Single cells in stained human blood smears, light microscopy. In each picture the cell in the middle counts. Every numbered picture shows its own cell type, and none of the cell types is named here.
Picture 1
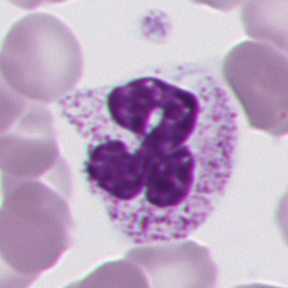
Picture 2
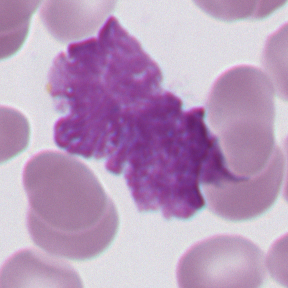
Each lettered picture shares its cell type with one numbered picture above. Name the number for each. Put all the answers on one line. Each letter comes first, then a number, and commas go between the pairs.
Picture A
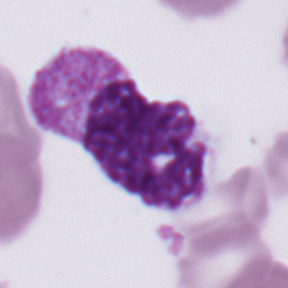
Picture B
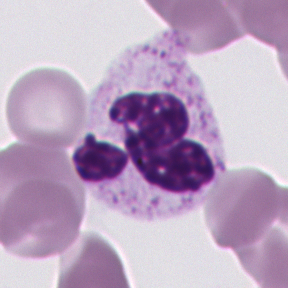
A 1, B 1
